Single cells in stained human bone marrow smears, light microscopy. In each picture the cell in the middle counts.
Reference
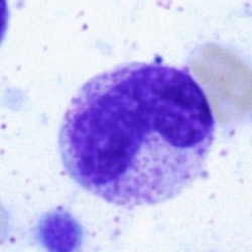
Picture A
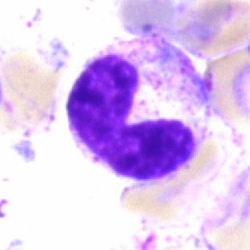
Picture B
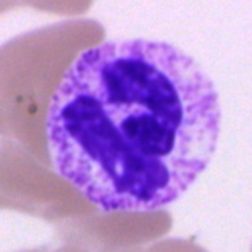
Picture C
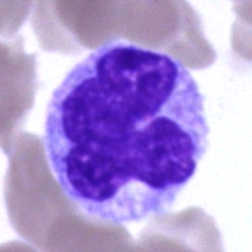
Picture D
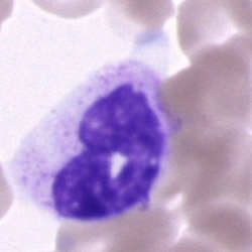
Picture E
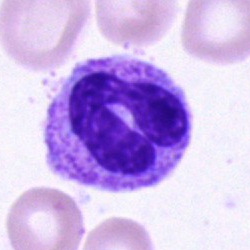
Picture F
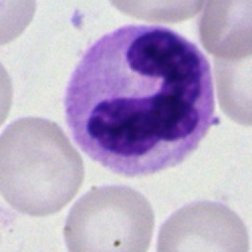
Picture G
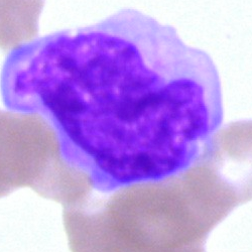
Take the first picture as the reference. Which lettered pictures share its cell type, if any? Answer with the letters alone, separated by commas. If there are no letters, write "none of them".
A, D, E, F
